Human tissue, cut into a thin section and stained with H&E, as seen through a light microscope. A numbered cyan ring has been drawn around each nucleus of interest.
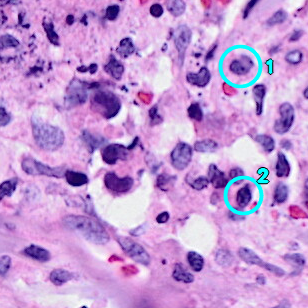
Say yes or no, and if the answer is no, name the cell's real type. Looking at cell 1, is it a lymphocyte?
No, it is a mast cell.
